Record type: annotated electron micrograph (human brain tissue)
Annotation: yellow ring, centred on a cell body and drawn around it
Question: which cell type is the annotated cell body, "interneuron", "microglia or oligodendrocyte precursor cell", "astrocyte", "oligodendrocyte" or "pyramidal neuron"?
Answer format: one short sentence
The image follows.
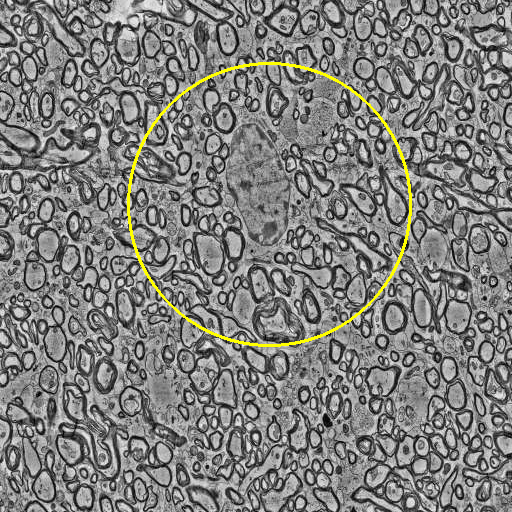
The annotated cell body is that of a microglial cell or oligodendrocyte precursor cell.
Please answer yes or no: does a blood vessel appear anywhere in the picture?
No, no vessel shows anywhere in the image.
